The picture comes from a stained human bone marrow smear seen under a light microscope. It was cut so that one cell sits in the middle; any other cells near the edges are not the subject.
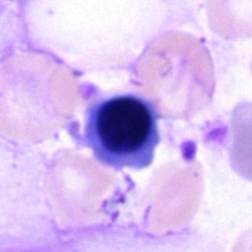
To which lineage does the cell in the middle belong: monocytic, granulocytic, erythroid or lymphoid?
erythroid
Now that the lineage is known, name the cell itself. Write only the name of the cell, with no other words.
erythroblast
